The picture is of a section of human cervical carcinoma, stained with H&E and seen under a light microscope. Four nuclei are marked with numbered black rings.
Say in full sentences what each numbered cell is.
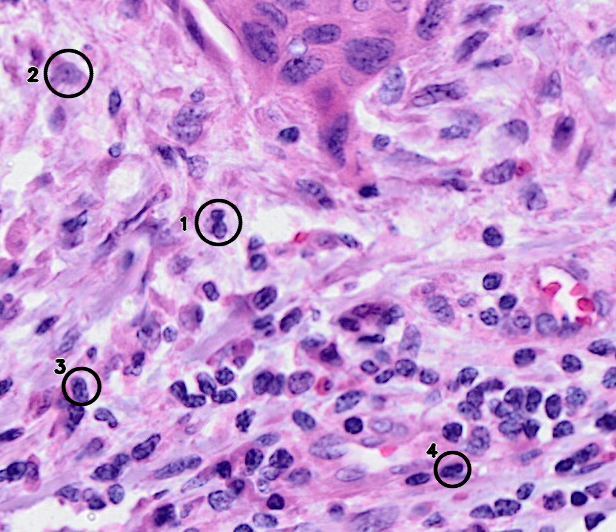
Cells 1, 3 and 4 are lymphocytes. Cell 2 is a fibroblast.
